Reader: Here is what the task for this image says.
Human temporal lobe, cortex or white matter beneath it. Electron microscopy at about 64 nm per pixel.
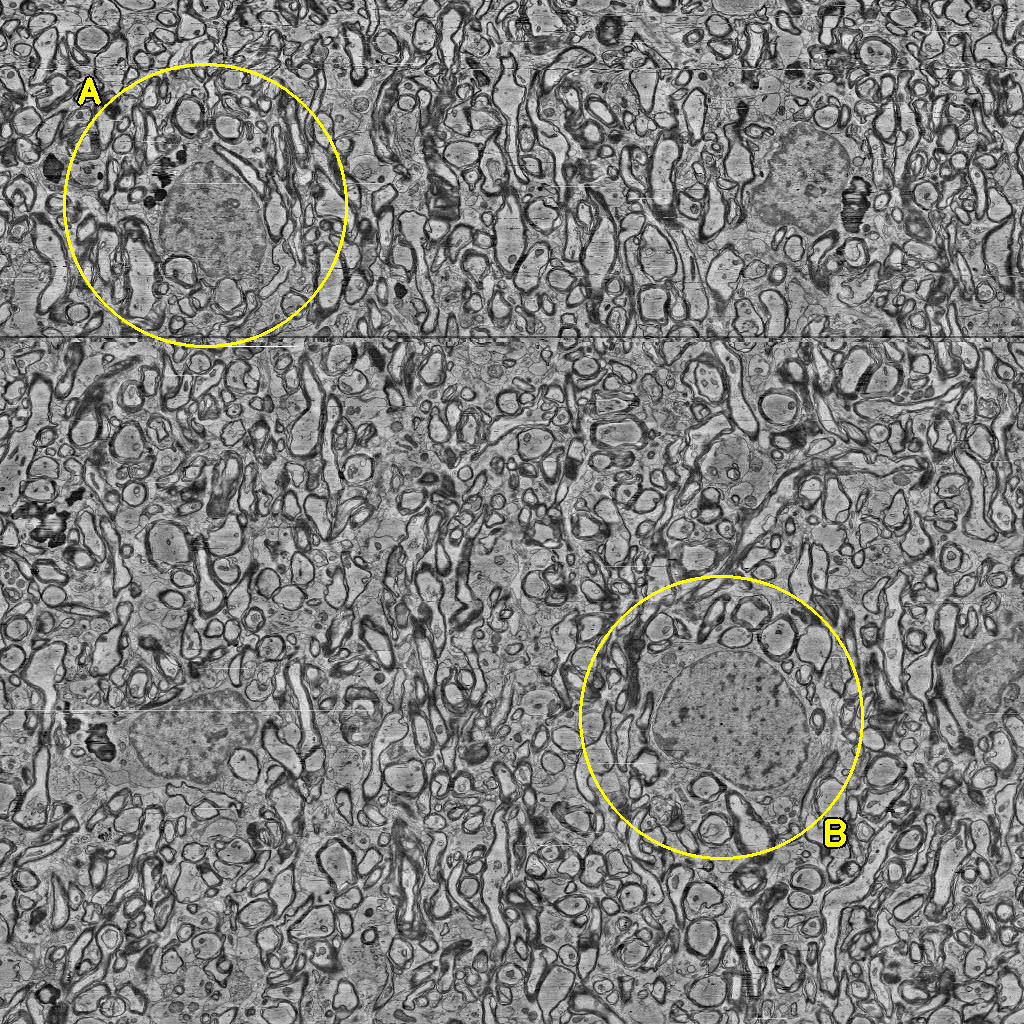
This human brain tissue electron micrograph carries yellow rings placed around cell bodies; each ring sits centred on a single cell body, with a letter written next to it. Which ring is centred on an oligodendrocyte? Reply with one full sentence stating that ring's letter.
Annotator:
Letter A marks the ring whose centre holds the cell asked for.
